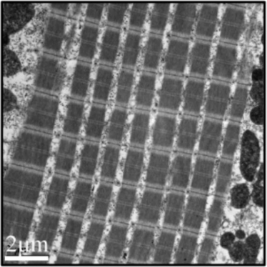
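This electron micrograph shows skeletal muscle cut lengthwise, with myofibrils running in parallel across the field. Each myofibril is divided into regular repeating sarcomeres by thin dark transverse lines, with darker and lighter bands alternating between them. The sarcomeres of neighbouring myofibrils line up in register, giving a neat lattice pattern. Narrow pale spaces separate the myofibrils, and dark mitochondria are seen at the left and right edges of the field.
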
